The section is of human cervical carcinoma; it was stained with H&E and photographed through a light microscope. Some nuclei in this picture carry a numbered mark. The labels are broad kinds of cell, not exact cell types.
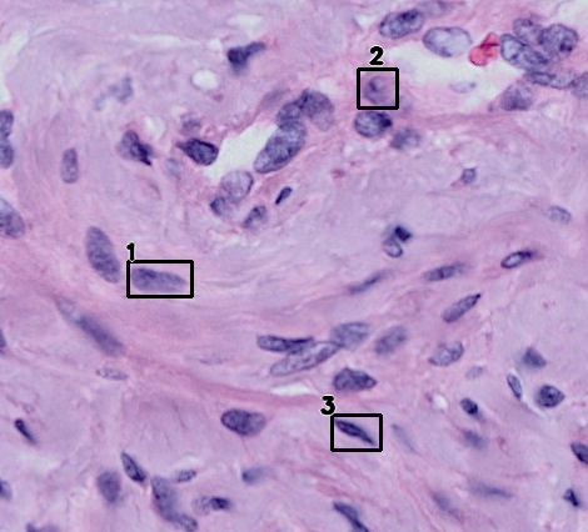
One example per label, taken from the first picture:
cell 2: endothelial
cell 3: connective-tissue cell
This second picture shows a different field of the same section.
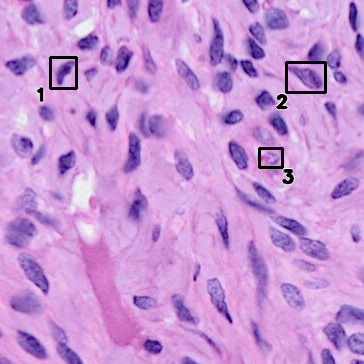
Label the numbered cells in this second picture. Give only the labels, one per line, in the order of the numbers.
connective-tissue cell
connective-tissue cell
endothelial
